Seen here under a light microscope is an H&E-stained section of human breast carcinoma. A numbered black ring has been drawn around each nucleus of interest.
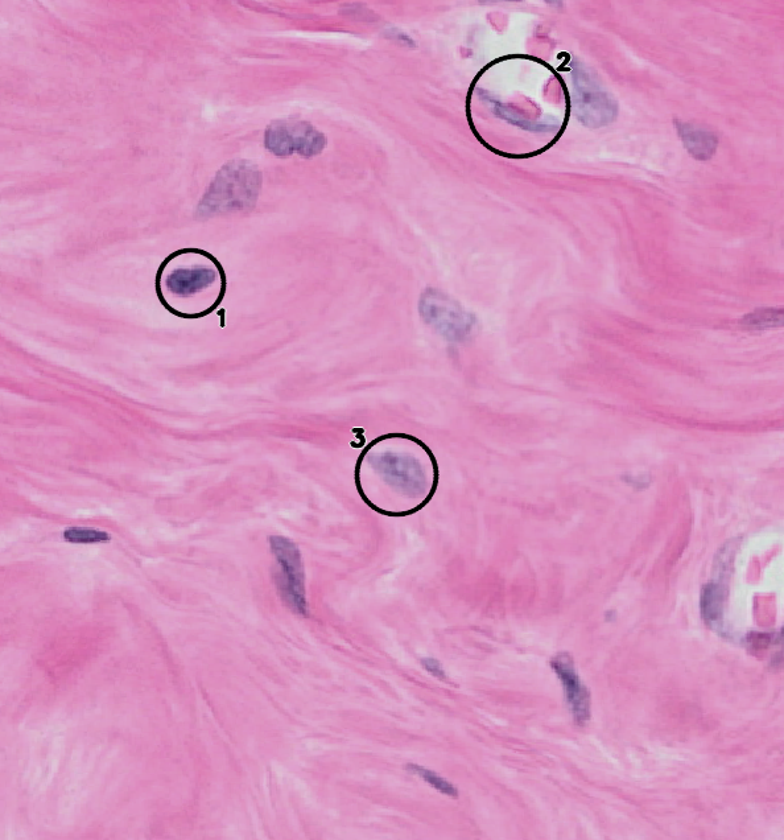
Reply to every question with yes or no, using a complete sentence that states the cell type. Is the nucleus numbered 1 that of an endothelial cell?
No, cell 1 represents a lymphocyte rather than an endothelial cell.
